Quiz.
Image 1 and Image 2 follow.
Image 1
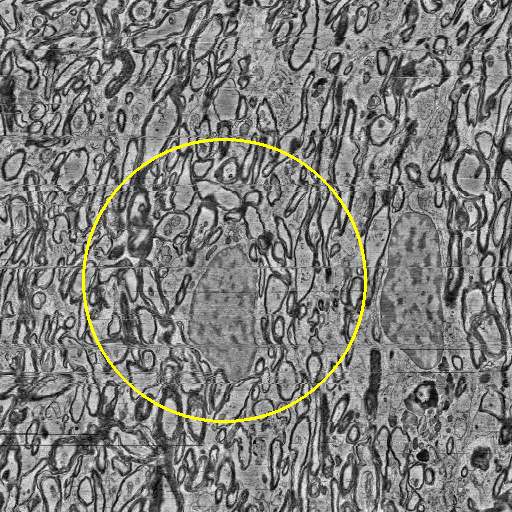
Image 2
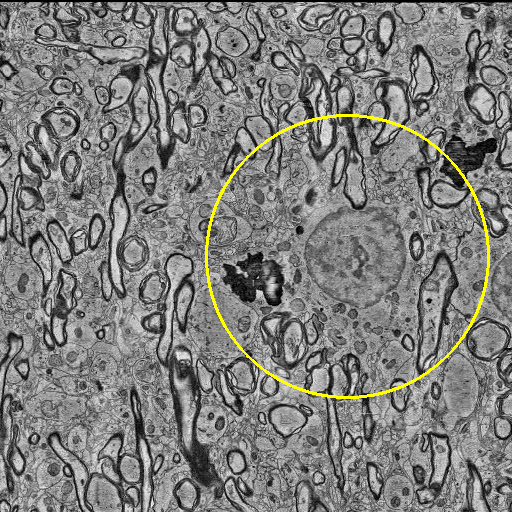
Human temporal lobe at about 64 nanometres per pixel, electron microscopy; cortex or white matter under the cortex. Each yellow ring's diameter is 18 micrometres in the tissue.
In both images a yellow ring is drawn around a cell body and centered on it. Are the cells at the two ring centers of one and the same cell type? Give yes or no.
yes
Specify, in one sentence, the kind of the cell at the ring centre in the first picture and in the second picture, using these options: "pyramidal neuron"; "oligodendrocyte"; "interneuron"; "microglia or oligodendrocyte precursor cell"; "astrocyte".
Both pictures show an oligodendrocyte at the centre of the ring.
